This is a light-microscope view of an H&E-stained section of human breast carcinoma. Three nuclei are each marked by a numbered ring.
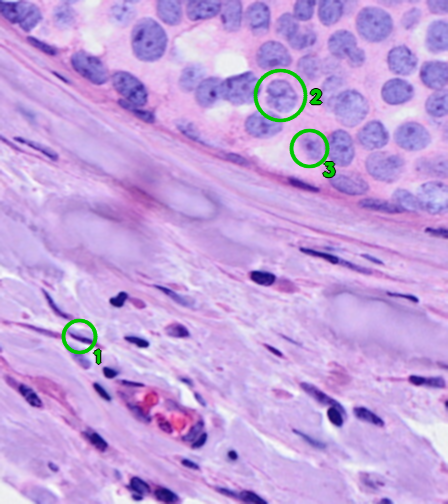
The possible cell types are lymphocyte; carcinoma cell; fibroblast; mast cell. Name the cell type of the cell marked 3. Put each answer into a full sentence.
The cell numbered 3 has been identified as a carcinoma cell.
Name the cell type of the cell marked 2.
The cell pointed out as number 2 is a carcinoma cell.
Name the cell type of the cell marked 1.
The cell pointed out as number 1 is a fibroblast.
